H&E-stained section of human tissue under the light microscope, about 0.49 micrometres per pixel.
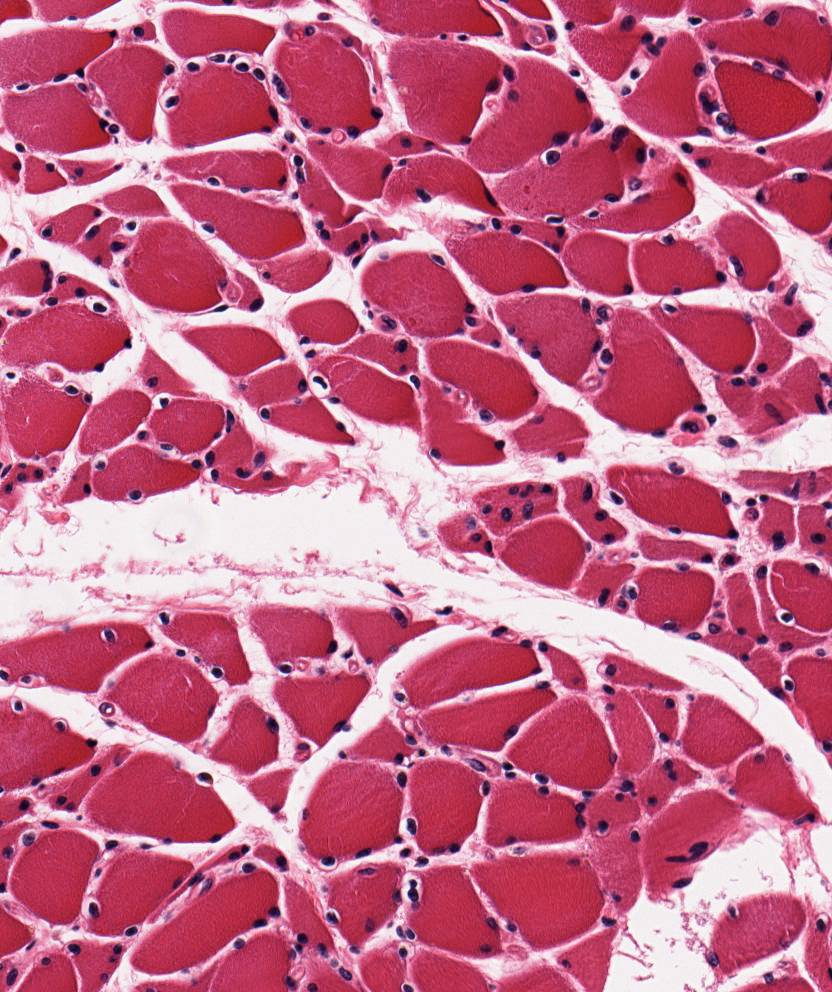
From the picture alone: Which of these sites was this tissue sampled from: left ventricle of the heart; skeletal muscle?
skeletal muscle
